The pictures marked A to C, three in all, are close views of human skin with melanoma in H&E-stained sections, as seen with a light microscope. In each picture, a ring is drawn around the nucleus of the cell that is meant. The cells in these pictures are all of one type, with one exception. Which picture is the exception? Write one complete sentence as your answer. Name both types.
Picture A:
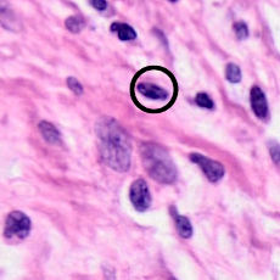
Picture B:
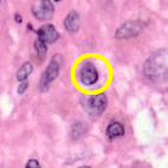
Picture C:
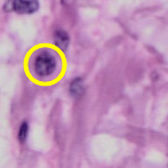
Unlike the rest, which show lymphocytes, picture C shows a plasma cell.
